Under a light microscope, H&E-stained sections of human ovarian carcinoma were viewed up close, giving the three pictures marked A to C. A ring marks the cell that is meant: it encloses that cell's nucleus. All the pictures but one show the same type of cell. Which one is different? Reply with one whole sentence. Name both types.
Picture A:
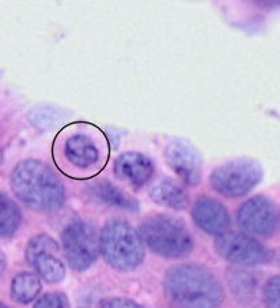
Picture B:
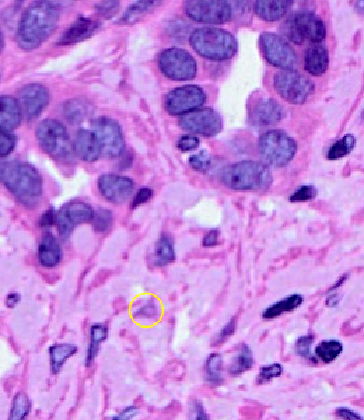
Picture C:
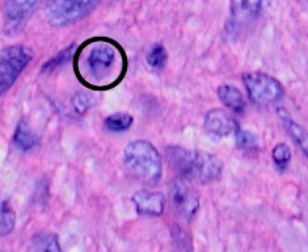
Unlike the rest, which show “macrophages or monocytes”, picture B shows a fibroblast.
